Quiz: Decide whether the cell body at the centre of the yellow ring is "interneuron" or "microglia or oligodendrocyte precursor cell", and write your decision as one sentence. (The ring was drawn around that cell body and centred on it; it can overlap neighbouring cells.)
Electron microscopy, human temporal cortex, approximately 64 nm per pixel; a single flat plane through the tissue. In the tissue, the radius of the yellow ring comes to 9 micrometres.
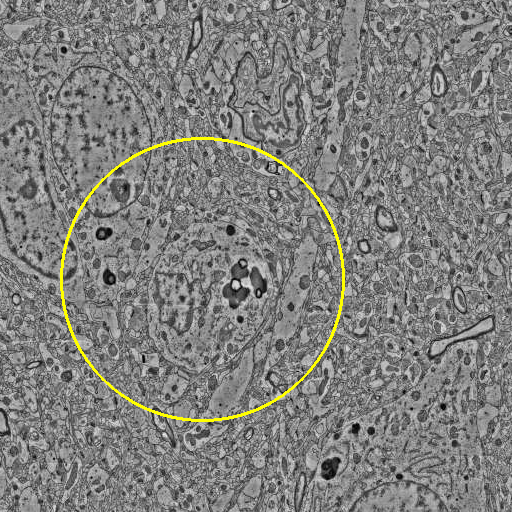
The cell the ring is centred on is an interneuron.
